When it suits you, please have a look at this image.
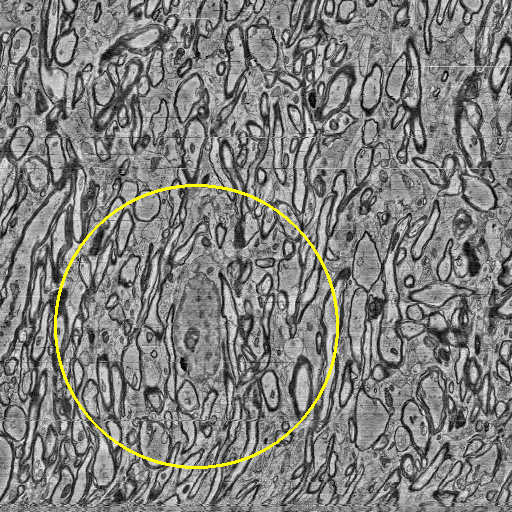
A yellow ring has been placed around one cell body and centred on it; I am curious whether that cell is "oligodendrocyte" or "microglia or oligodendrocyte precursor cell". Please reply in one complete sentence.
The ringed cell, an oligodendrocyte, has its body at the centre of the yellow ring.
